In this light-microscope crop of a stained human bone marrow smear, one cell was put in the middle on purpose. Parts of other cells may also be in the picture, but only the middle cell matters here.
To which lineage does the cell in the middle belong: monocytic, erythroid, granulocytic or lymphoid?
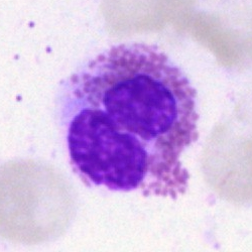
granulocytic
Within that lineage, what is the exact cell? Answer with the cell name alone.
eosinophil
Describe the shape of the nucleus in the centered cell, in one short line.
The nucleus is segmented, with two or more lobes present.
